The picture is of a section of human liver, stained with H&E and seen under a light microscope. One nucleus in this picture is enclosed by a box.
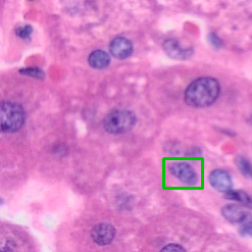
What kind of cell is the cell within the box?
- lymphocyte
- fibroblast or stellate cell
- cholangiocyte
cholangiocyte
